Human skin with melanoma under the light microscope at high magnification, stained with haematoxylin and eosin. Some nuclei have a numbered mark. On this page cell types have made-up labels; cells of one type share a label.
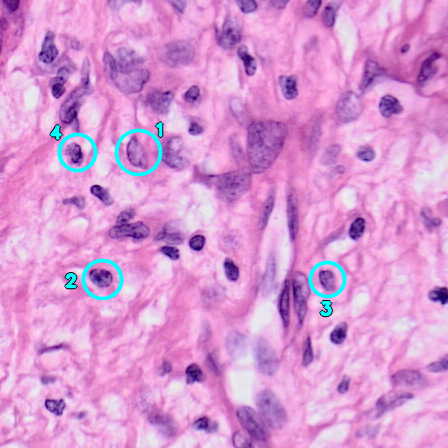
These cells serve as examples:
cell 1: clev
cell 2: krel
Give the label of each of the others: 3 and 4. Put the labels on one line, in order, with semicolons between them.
krel; krel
